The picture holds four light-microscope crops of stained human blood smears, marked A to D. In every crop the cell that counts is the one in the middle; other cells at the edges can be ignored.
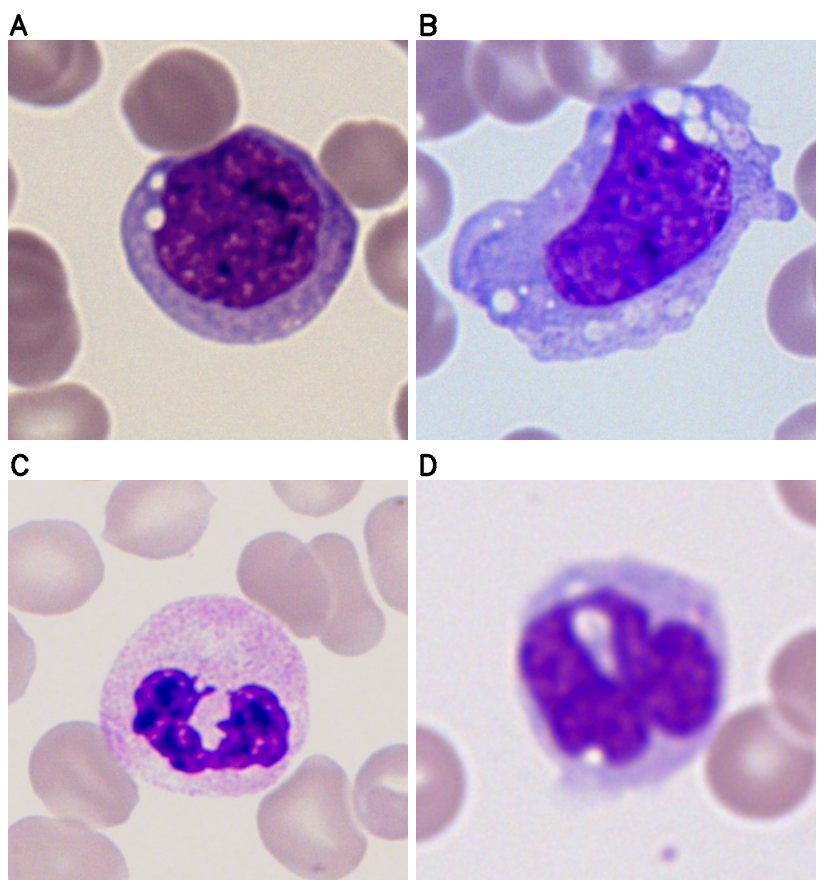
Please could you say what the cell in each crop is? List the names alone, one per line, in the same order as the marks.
monocyte
monocyte
segmented neutrophil
monocyte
